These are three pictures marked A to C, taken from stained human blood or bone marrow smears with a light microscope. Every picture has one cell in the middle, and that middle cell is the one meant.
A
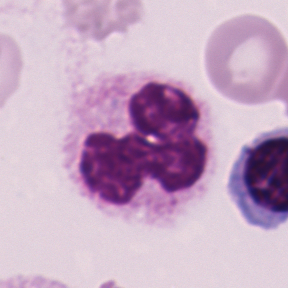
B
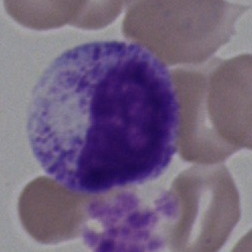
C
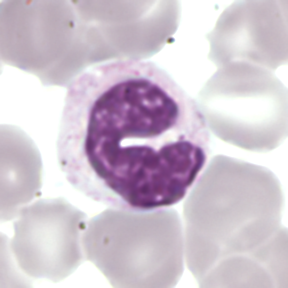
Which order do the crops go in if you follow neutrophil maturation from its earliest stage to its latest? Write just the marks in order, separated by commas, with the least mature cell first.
B, C, A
